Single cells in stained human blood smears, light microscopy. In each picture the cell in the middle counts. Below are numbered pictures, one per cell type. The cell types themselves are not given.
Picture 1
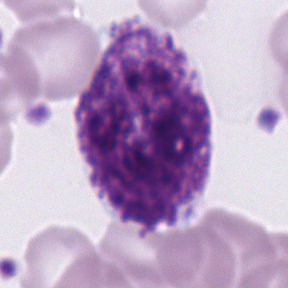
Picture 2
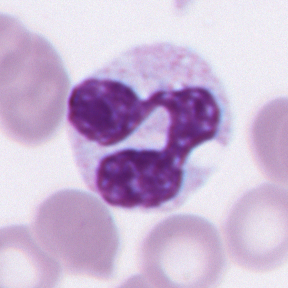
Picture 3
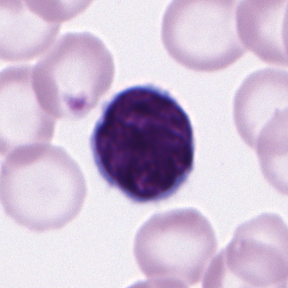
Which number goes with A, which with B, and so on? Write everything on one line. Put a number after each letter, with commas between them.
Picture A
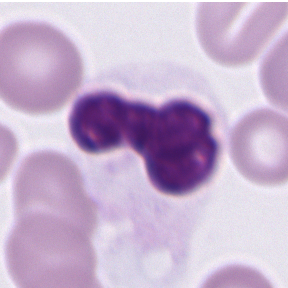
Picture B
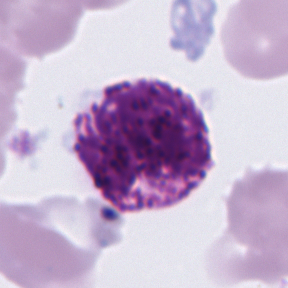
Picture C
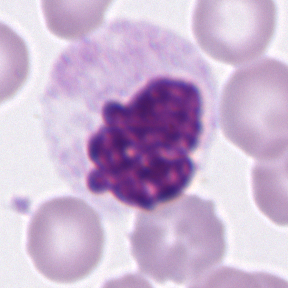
A 2, B 1, C 2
